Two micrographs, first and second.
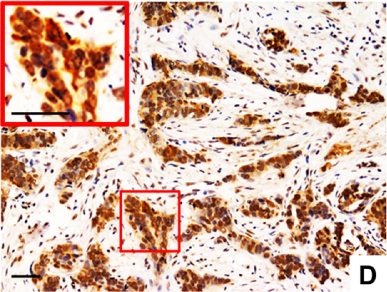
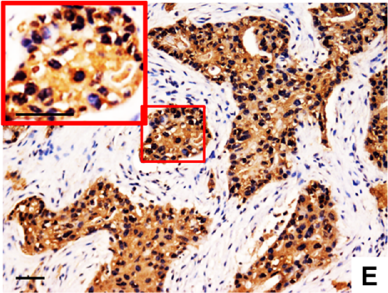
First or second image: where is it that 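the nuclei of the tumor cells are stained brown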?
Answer: The first image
